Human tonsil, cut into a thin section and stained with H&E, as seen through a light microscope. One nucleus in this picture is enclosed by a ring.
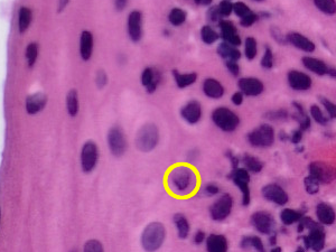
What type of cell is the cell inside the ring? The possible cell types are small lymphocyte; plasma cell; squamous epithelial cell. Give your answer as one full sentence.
By cell type, the cell inside the ring is a squamous epithelial cell.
